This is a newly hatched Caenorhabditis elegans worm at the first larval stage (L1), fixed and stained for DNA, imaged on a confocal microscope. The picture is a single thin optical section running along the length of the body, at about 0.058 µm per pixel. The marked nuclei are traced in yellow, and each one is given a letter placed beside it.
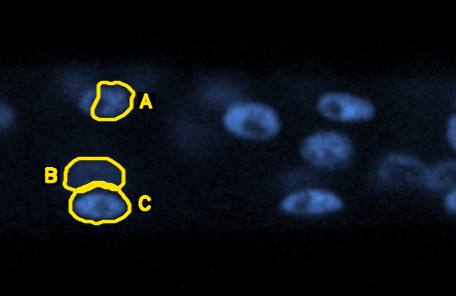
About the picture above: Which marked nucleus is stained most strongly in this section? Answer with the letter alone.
C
